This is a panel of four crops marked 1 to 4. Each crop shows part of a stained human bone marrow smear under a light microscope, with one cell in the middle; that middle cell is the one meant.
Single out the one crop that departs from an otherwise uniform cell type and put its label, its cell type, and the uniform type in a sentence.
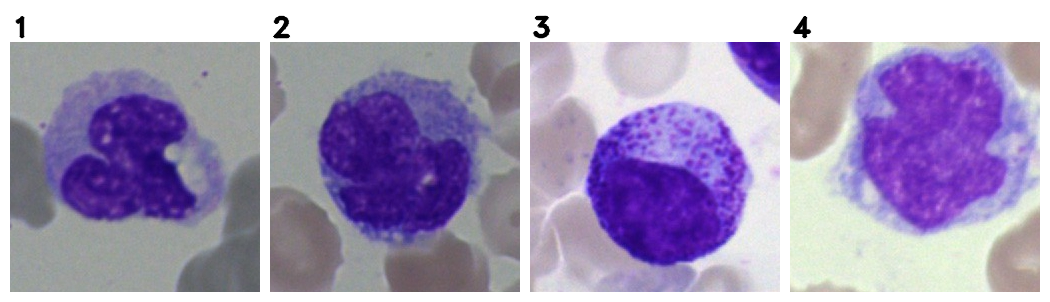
In this set, all crops show monocytes apart from crop 3, which is a myelocyte.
